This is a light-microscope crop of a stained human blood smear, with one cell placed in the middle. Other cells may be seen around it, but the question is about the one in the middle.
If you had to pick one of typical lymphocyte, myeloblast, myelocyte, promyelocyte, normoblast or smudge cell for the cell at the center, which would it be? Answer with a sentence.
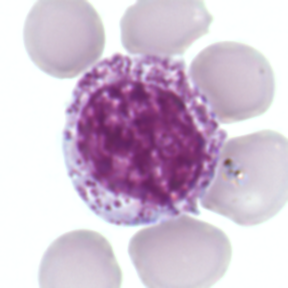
What sits at the centre of this crop is a myelocyte.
